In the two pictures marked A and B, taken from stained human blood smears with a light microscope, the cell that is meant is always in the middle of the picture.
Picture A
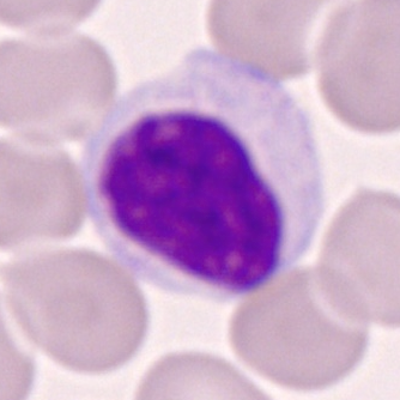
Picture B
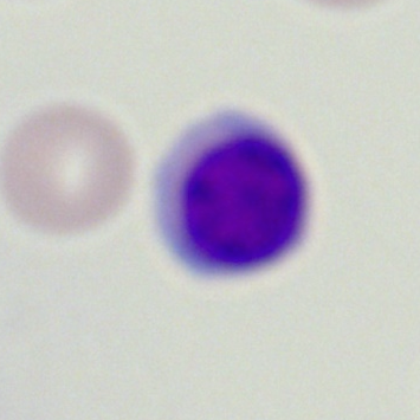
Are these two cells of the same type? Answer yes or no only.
yes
